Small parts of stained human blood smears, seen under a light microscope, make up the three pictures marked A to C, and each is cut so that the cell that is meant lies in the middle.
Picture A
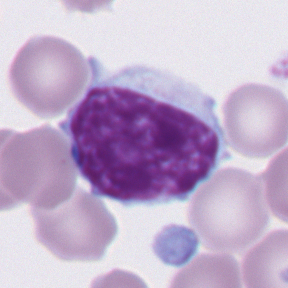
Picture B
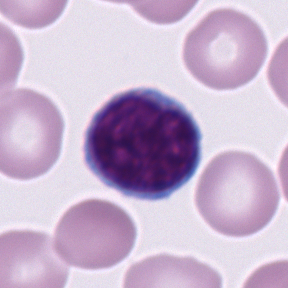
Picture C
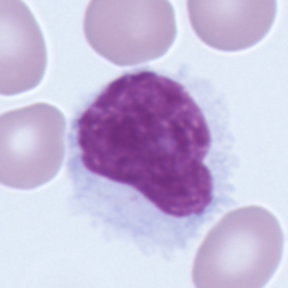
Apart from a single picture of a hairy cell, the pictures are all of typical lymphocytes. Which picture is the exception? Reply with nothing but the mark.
C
